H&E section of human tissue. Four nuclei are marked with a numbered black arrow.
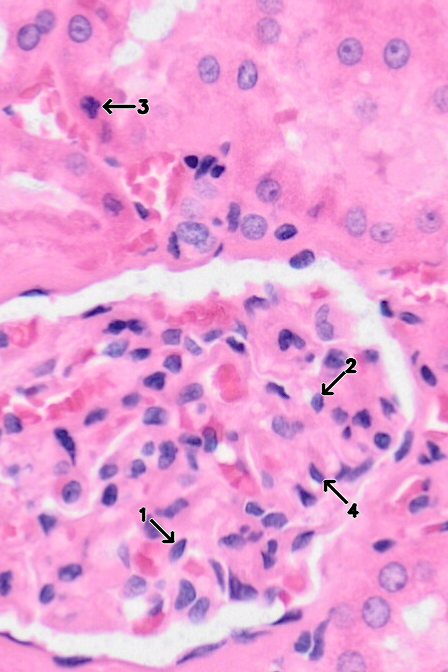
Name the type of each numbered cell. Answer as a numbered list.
1. endothelial cell
2. endothelial cell
3. proximal tubule cell
4. endothelial cell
